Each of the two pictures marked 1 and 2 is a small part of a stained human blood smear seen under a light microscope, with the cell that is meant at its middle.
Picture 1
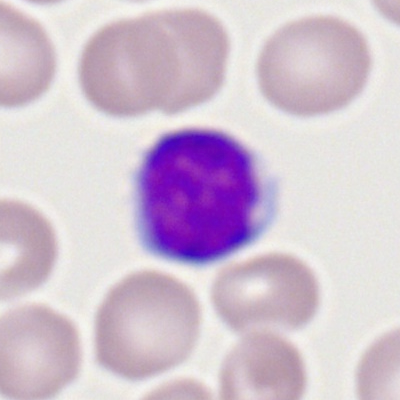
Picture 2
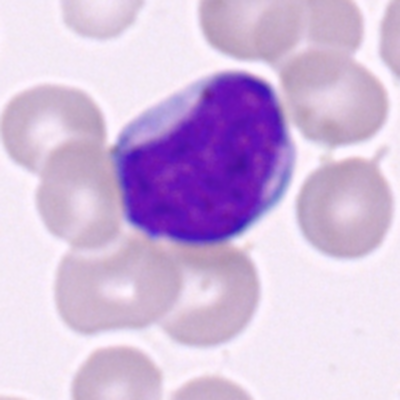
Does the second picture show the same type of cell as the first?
no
